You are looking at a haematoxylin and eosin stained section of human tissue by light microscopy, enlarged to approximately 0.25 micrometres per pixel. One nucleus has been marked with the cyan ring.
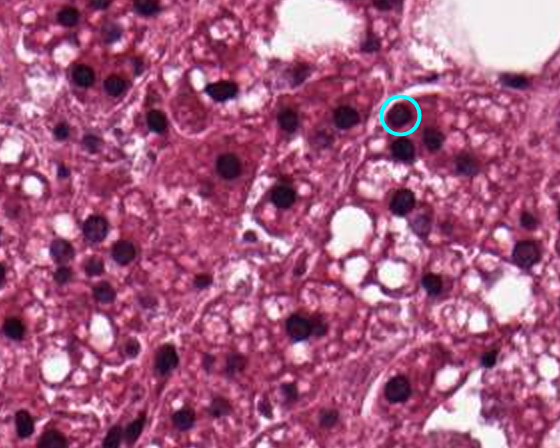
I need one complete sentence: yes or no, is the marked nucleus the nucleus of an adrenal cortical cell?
Yes, the marked nucleus is present within an adrenal cortical cell.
